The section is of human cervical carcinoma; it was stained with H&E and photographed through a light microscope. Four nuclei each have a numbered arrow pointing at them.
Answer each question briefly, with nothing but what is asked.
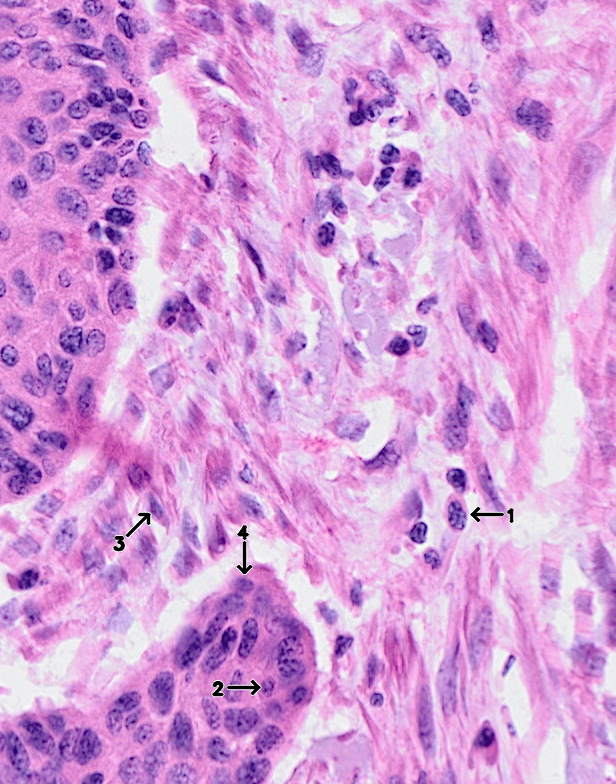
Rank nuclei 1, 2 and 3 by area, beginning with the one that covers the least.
2, 3, 1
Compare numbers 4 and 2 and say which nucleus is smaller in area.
2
